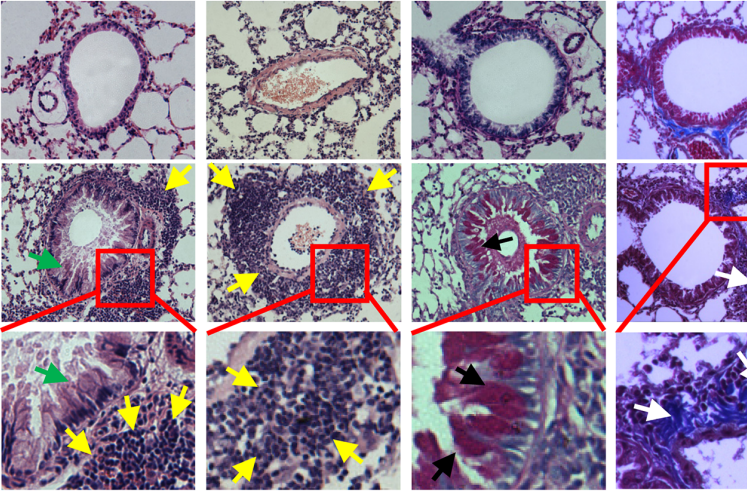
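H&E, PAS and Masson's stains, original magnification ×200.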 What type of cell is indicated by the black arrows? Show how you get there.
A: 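Mucus-containing cells. Magenta-stained cells lie within the airway epithelium in the PAS column. The magenta material fills tall cells along the lumen.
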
